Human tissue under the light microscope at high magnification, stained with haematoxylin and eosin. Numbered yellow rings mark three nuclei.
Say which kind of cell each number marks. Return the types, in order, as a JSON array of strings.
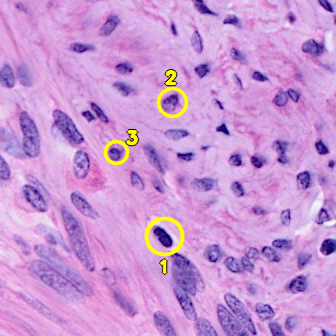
["lymphocyte", "smooth muscle cell", "smooth muscle cell"]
